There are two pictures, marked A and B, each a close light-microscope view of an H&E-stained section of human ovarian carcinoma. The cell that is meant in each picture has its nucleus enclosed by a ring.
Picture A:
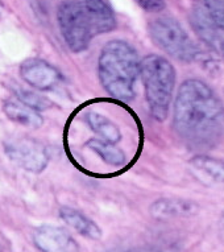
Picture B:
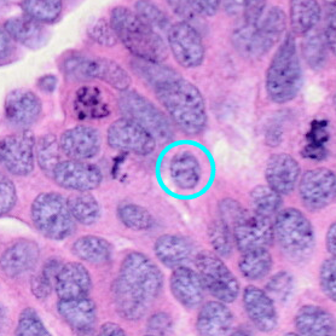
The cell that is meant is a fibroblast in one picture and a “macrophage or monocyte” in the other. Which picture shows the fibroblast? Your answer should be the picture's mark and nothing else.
A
